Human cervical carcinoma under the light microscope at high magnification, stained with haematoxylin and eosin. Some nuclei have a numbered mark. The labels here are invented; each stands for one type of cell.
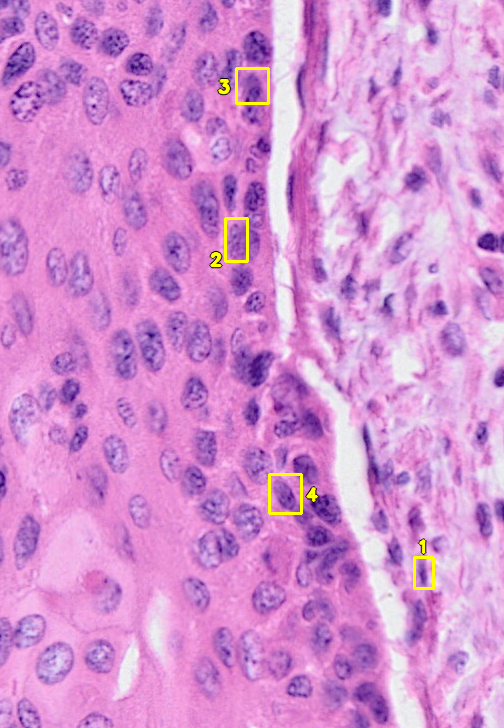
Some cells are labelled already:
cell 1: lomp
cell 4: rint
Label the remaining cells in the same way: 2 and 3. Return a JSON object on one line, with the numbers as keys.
{"2": "rint", "3": "rint"}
